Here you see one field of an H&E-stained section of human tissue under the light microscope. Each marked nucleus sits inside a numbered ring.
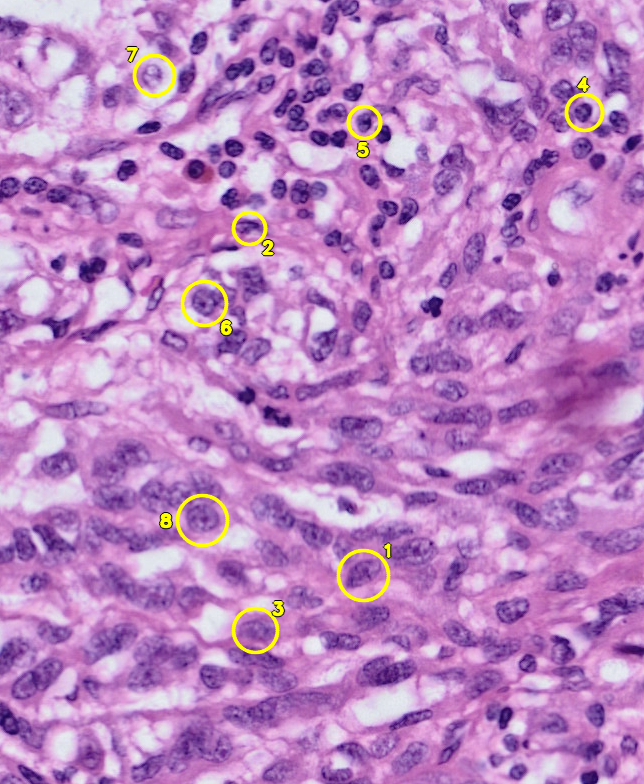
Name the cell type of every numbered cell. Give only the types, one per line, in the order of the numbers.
melanoma cell
endothelial cell
melanoma cell
lymphocyte
lymphocyte
melanoma cell
melanoma cell
melanoma cell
